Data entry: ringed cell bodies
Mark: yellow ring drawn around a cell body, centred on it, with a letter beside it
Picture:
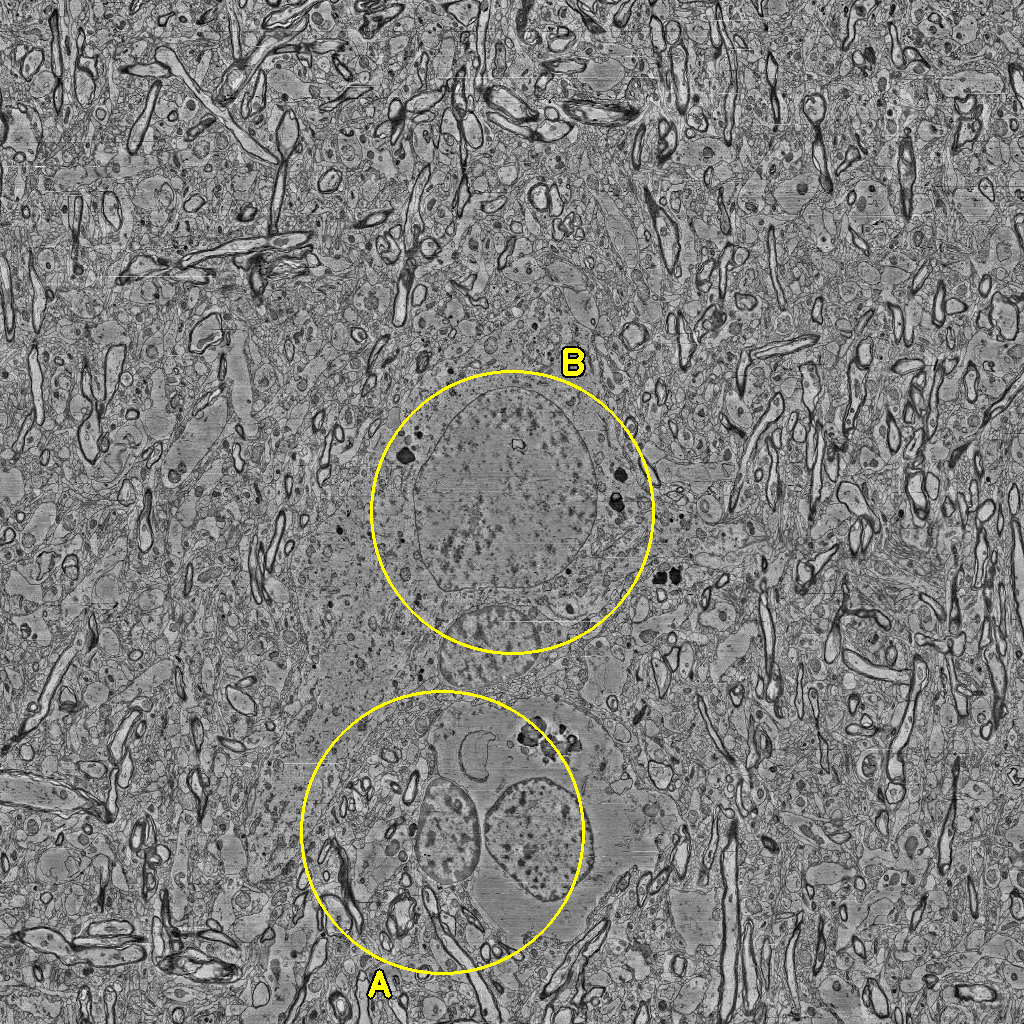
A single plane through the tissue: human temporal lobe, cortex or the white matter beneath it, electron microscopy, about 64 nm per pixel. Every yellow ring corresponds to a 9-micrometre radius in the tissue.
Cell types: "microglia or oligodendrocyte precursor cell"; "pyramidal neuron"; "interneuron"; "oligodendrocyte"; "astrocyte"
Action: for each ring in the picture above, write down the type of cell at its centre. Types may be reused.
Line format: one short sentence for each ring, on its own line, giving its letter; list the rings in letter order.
For ring A, the cell at the centre is a microglial cell or oligodendrocyte precursor cell.
For ring B, the cell at the centre is a pyramidal neuron.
